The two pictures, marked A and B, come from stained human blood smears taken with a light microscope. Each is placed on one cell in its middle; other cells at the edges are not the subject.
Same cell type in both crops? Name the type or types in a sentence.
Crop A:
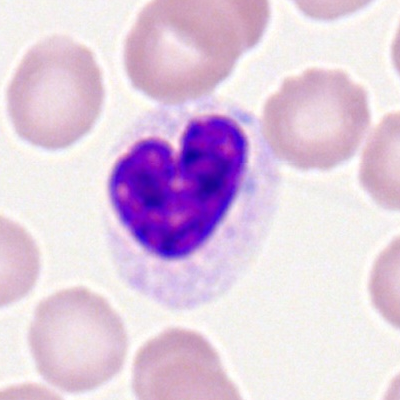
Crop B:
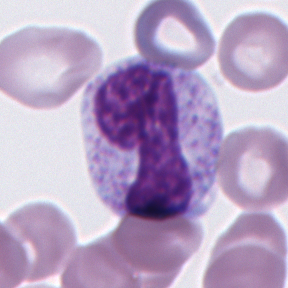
Yes, the two crops show band neutrophils, both of them.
